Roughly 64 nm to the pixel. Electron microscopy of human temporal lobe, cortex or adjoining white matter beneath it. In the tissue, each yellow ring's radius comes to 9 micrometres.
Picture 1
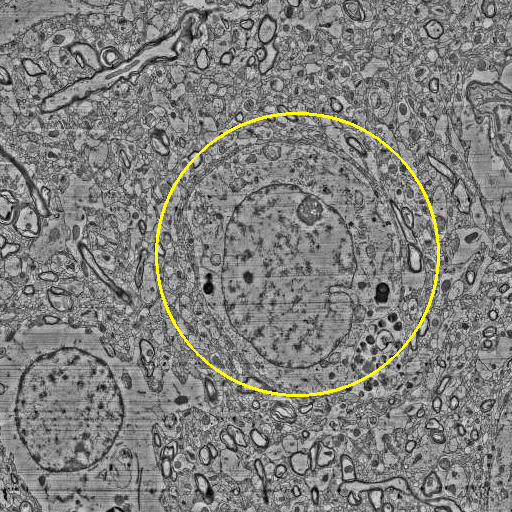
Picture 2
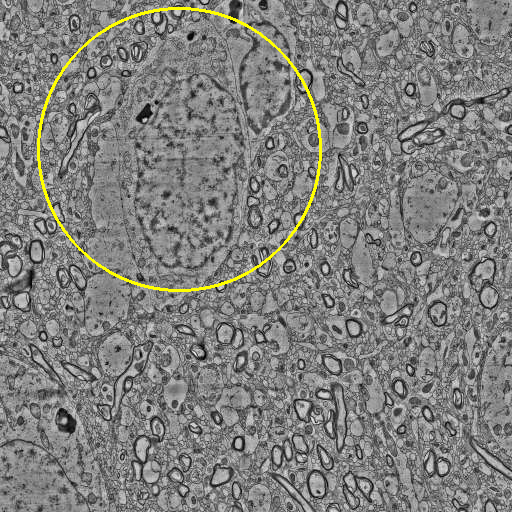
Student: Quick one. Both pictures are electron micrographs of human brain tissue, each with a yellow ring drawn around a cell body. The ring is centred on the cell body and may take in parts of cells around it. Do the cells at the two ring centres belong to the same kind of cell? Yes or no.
no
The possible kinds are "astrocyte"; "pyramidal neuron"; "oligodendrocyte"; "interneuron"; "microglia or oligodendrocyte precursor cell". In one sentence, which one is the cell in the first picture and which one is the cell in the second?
The cell ringed in the second picture is an interneuron, whereas the one ringed in the first is a pyramidal neuron.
